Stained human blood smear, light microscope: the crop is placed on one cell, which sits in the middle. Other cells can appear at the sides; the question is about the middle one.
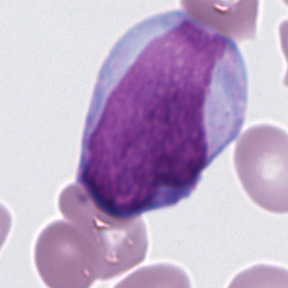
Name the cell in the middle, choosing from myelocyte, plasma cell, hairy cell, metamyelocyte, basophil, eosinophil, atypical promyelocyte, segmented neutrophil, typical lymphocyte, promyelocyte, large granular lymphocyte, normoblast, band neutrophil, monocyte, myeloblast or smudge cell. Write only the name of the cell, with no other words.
atypical promyelocyte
